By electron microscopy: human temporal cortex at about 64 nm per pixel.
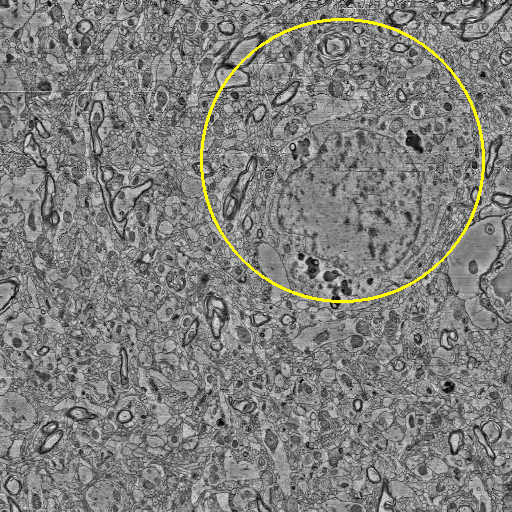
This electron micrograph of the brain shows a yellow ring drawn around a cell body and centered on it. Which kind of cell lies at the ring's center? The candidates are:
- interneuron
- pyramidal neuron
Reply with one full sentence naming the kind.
The cell lying at the ring's center in this micrograph is an interneuron.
